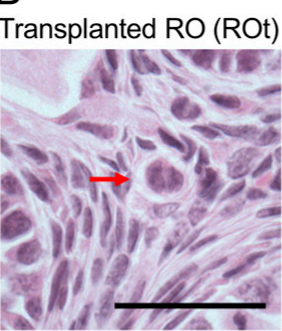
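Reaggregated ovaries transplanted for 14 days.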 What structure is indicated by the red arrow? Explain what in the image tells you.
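Flattened cells curve around that round cell. It lies among spindle-shaped cells in pink fibrous tissue. The answer: putative primordial follicles.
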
